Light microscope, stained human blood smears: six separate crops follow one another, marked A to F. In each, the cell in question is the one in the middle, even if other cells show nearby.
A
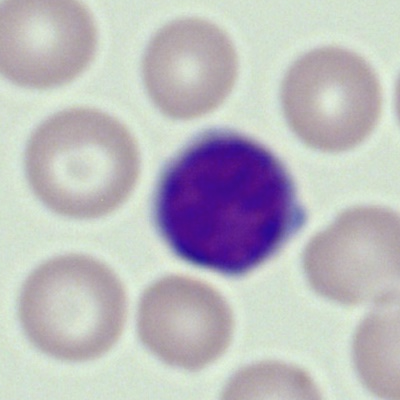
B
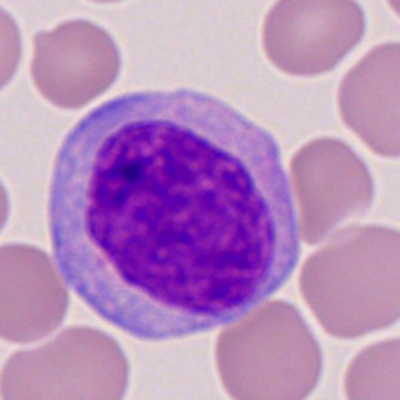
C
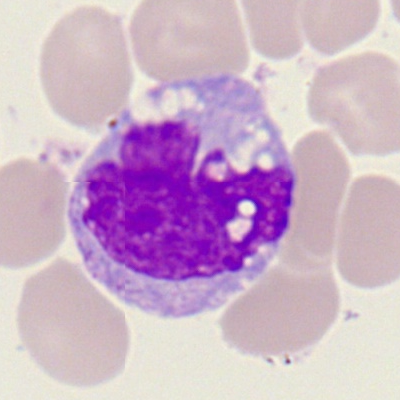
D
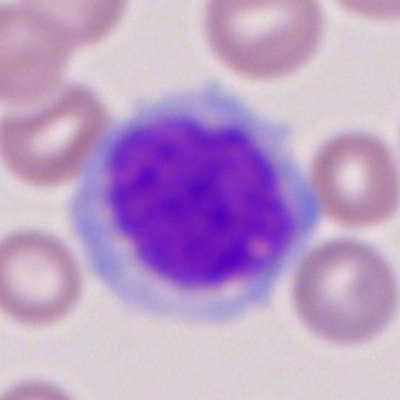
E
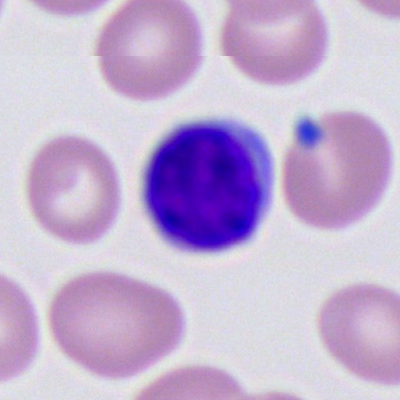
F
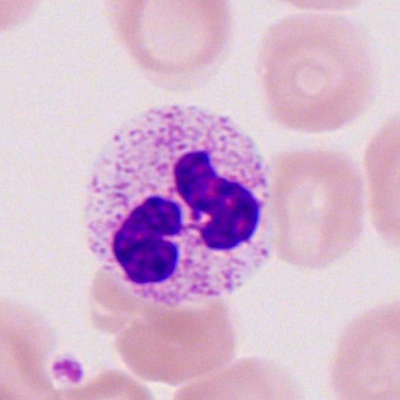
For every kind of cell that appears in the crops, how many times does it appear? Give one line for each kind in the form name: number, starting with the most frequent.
monocyte: 3
lymphocyte: 2
neutrophil: 1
